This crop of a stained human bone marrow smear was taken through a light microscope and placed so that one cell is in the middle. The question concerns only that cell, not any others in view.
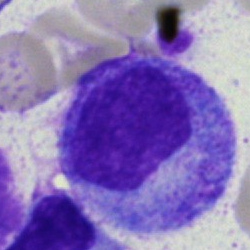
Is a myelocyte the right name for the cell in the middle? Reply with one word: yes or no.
yes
